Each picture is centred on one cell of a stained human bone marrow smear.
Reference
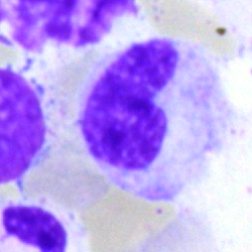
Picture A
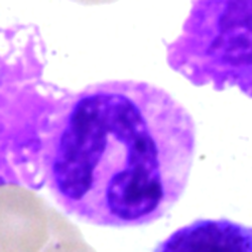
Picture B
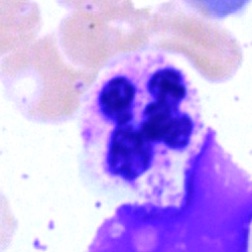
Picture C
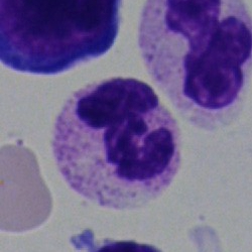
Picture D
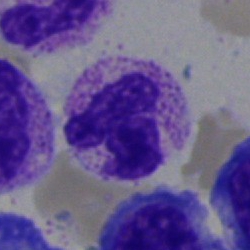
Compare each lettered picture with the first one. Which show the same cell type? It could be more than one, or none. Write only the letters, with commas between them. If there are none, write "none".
A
